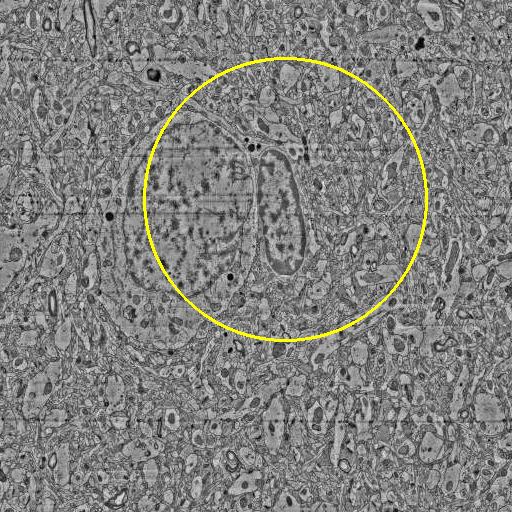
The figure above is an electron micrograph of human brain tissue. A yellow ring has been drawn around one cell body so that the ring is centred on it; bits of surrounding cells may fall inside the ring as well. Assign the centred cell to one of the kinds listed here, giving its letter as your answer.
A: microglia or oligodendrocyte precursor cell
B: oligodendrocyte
A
